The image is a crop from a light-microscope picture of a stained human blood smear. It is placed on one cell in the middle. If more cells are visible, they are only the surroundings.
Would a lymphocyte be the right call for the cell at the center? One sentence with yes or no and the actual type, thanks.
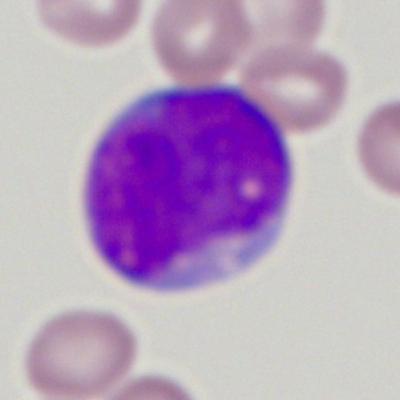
No, this cell in the middle is a blast, so it is not a lymphocyte.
